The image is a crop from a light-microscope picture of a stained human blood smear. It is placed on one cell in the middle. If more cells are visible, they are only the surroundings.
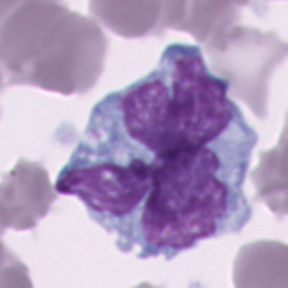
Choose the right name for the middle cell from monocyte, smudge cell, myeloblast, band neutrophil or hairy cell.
monocyte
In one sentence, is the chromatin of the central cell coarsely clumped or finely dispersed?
The chromatin pattern is fine and free of coarse clumps.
